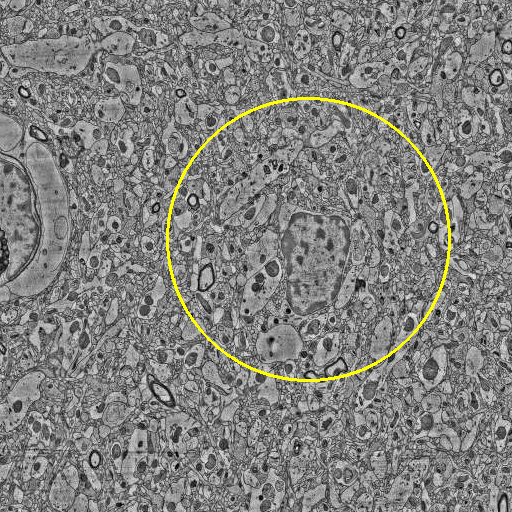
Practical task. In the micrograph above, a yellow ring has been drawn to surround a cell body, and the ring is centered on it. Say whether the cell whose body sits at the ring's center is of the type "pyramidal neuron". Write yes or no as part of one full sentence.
No, the cell at the center of the ring above is of another type.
